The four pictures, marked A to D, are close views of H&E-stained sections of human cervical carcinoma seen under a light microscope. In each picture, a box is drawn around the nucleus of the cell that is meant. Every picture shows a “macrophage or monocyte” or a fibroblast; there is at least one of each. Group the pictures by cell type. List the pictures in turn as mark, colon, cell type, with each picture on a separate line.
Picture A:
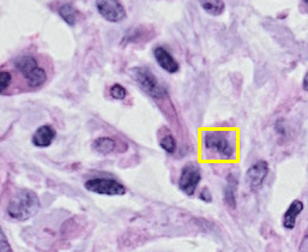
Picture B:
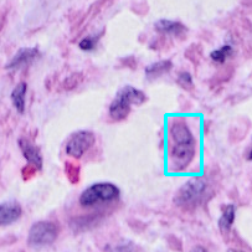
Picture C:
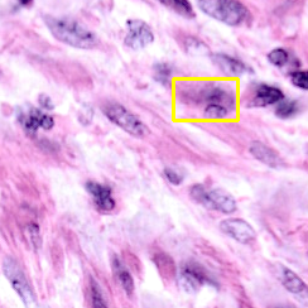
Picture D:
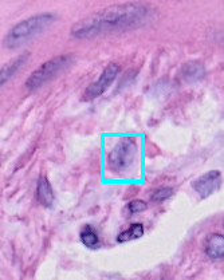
A: macrophage or monocyte
B: macrophage or monocyte
C: macrophage or monocyte
D: fibroblast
